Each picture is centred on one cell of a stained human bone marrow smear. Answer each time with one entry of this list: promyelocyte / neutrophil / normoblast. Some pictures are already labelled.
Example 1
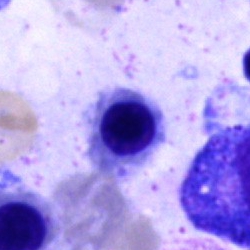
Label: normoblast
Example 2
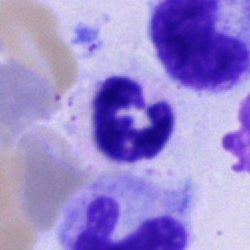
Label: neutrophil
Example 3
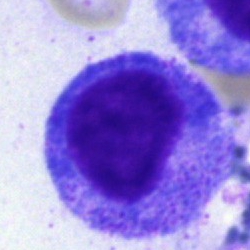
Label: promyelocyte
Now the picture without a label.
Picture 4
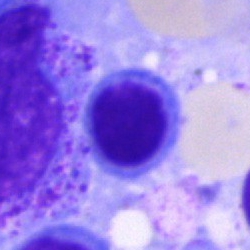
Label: normoblast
